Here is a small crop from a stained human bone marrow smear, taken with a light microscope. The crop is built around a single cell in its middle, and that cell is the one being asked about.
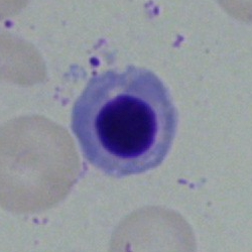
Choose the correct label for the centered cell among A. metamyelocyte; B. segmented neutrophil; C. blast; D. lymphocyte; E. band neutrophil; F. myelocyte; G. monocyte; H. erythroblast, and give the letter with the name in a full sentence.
The correct identification, given in option H, is that the central cell is an erythroblast.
